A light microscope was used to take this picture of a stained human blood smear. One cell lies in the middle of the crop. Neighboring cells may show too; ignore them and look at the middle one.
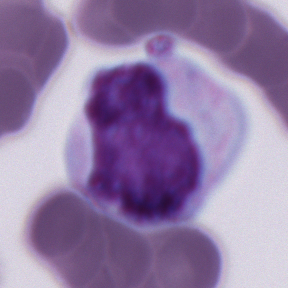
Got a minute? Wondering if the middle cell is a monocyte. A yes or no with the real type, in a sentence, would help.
No, in the middle of the crop there is a metamyelocyte rather than a monocyte.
